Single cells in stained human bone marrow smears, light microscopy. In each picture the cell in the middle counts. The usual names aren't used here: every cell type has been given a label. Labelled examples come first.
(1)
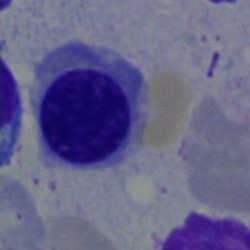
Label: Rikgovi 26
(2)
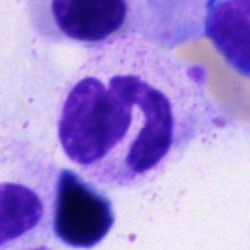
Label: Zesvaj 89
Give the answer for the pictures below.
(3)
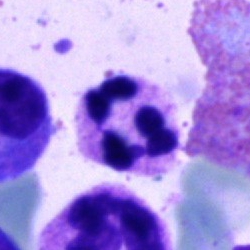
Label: Zesvaj 89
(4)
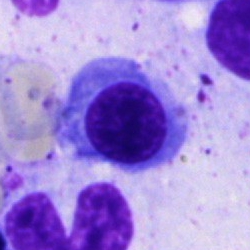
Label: Rikgovi 26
